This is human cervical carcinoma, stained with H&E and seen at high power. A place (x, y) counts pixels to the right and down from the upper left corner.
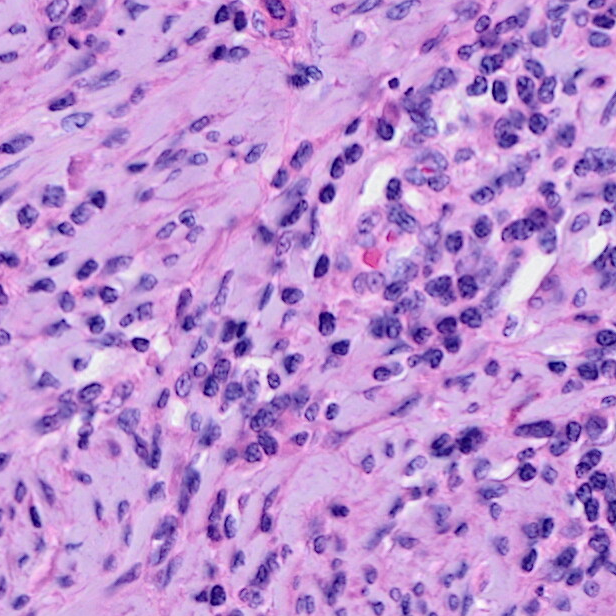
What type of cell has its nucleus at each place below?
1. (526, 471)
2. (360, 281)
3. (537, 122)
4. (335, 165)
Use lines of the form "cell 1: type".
cell 1: lymphocyte
cell 2: endothelial cell
cell 3: lymphocyte
cell 4: lymphocyte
